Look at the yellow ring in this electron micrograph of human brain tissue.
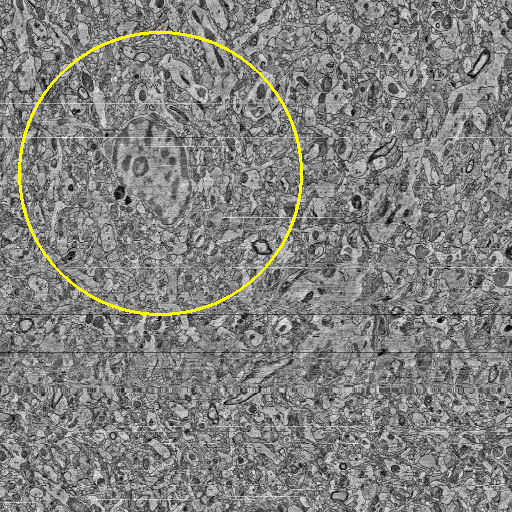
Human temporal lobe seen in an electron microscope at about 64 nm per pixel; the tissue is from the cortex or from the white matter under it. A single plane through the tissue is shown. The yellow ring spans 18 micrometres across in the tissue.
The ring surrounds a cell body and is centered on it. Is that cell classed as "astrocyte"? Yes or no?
No, it is of another kind.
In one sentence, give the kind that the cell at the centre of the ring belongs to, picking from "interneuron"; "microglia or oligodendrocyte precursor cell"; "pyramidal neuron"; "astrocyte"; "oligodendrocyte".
So the cell at the centre is a microglial cell or oligodendrocyte precursor cell.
